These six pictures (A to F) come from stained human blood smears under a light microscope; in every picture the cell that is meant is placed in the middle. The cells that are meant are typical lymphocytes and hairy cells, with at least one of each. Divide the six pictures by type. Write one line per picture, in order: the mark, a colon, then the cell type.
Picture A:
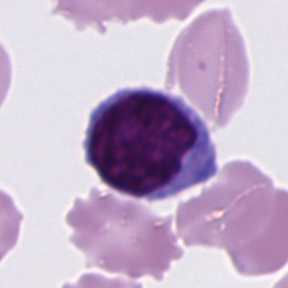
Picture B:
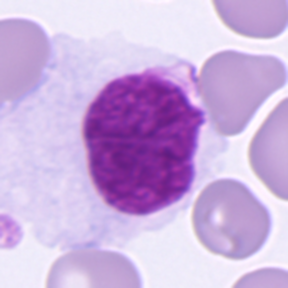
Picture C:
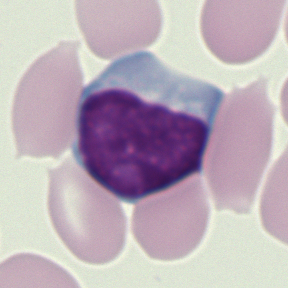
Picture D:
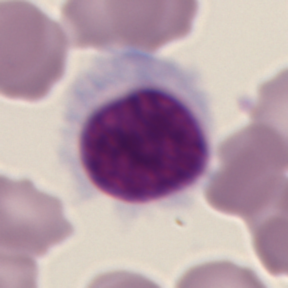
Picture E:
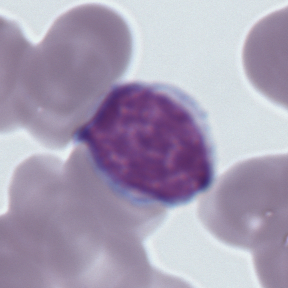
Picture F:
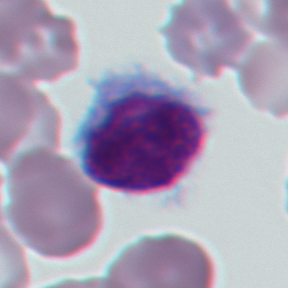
A: typical lymphocyte
B: hairy cell
C: typical lymphocyte
D: hairy cell
E: typical lymphocyte
F: hairy cell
